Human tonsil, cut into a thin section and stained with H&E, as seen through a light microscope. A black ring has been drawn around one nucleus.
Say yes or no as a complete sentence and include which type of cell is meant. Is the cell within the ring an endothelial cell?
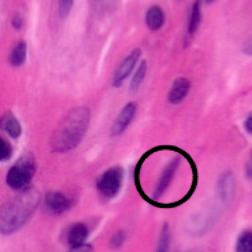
Yes, that the cell within the ring is an endothelial cell is correct.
